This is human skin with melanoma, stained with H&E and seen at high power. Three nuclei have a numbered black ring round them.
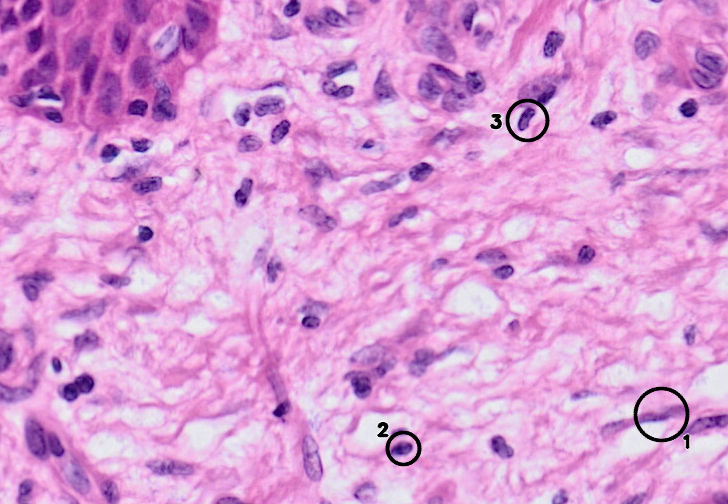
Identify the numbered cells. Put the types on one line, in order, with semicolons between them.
fibroblast or myofibroblast; lymphocyte; lymphocyte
